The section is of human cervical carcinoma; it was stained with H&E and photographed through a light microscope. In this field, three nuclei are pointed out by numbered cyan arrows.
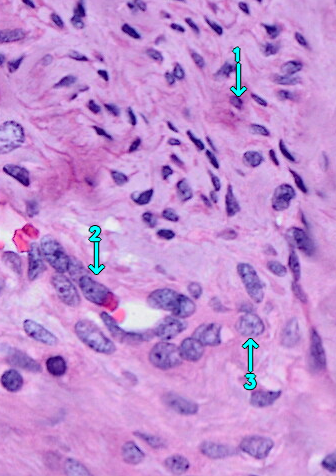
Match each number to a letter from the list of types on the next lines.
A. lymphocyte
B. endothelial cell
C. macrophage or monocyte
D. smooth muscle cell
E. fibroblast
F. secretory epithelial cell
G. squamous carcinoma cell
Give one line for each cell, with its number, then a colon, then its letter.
1: D
2: B
3: B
